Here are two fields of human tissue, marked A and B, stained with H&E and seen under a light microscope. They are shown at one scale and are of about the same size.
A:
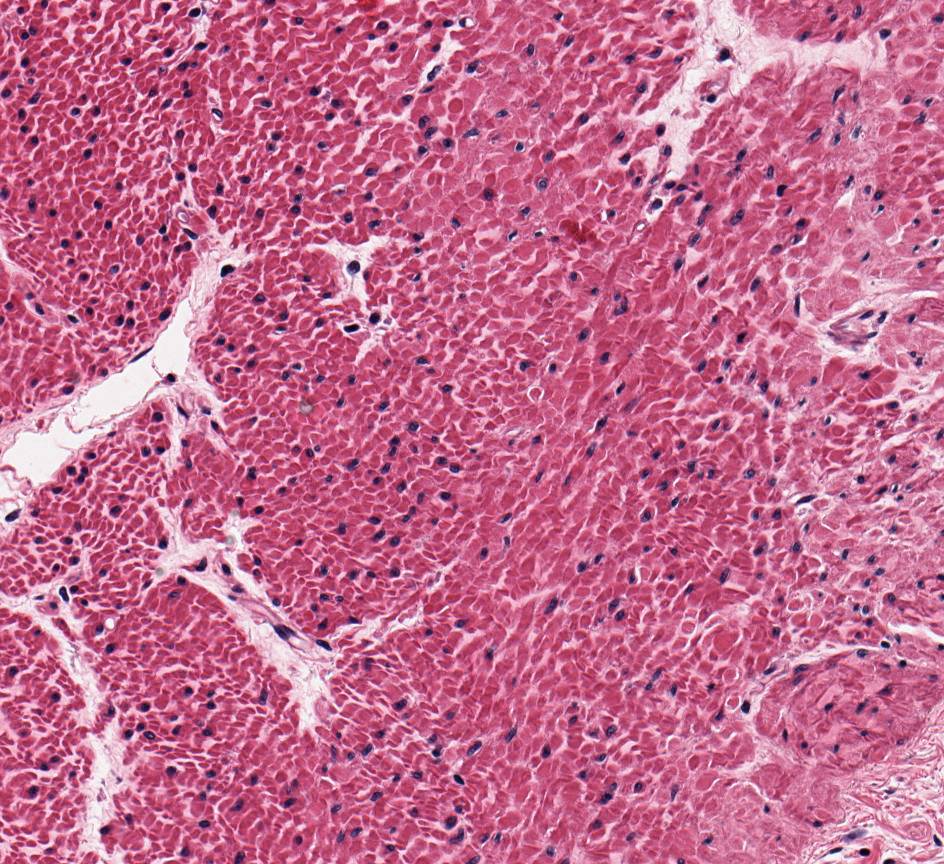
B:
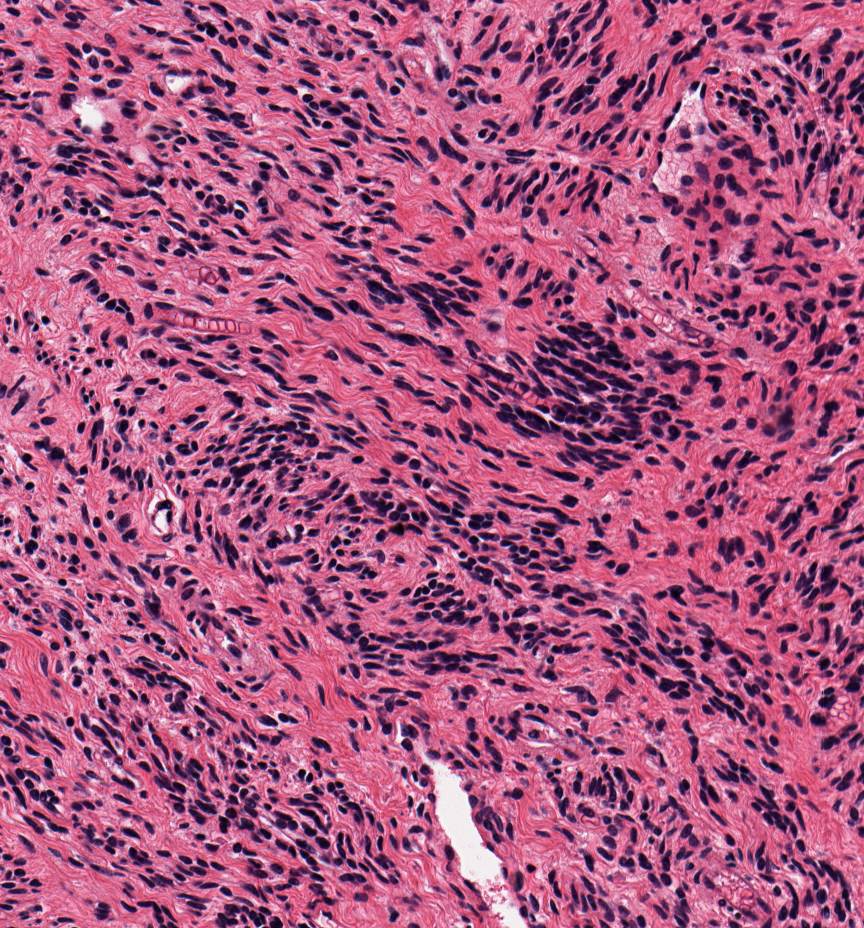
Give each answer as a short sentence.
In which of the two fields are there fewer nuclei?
It is field A that has fewer nuclei in it.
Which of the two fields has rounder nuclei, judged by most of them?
It is field A whose nuclei are the rounder.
